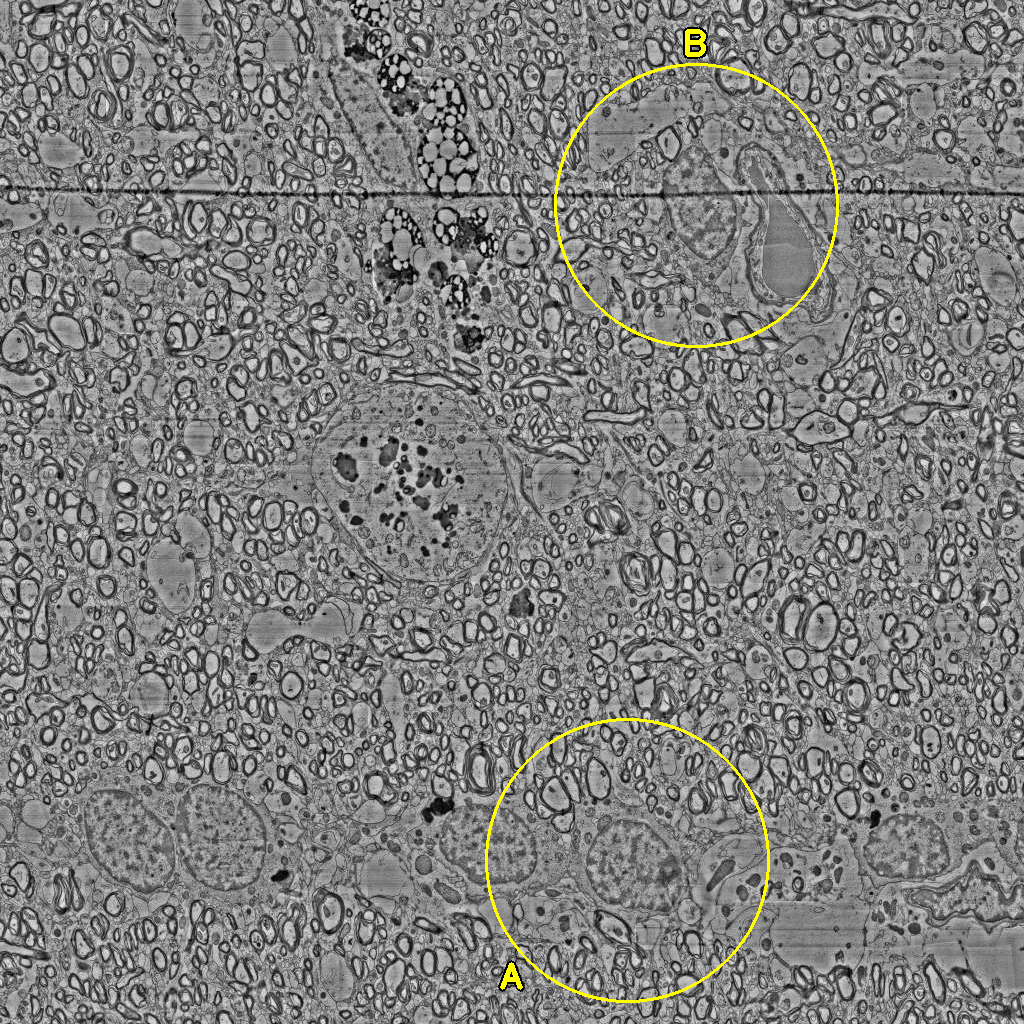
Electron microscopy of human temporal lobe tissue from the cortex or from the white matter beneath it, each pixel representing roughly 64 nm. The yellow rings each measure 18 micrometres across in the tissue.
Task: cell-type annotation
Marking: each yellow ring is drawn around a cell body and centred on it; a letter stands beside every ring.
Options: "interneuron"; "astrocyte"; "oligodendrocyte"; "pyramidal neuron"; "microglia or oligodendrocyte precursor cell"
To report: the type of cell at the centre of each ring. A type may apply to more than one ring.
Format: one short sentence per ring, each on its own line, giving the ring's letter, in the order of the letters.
Ring A is centred on an oligodendrocyte.
Ring B is centred on an oligodendrocyte.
